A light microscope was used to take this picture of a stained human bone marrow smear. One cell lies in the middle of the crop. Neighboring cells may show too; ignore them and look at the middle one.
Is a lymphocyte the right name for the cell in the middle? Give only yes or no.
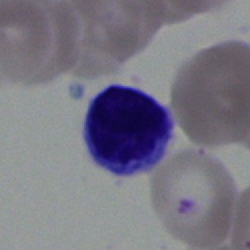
yes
